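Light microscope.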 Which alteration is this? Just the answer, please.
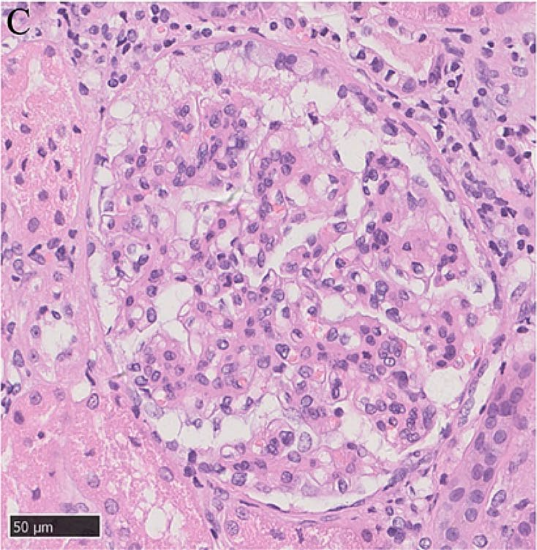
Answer: Mesangial cell proliferation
